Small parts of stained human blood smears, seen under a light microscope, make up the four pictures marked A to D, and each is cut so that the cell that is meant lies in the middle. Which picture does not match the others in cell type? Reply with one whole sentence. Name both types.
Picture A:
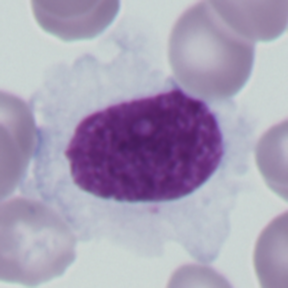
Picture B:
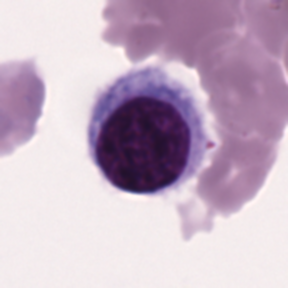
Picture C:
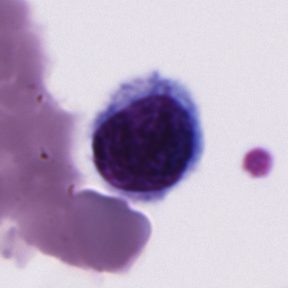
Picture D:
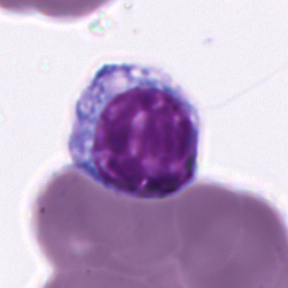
Picture D differs, because its cell is a plasma cell and the rest are hairy cells.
